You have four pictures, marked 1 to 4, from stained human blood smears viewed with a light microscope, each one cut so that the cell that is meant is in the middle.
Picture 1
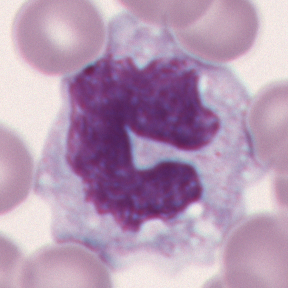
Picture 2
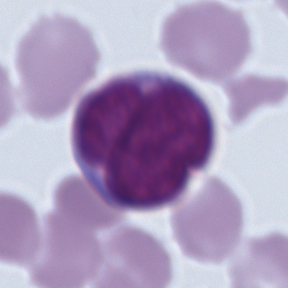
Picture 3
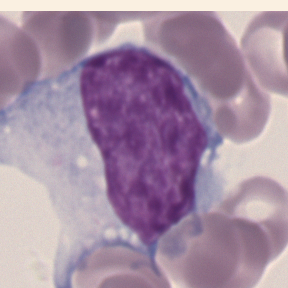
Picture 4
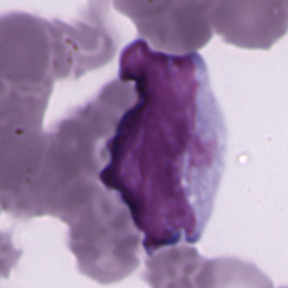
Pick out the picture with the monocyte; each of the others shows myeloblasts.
1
